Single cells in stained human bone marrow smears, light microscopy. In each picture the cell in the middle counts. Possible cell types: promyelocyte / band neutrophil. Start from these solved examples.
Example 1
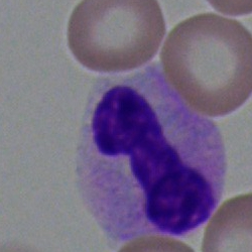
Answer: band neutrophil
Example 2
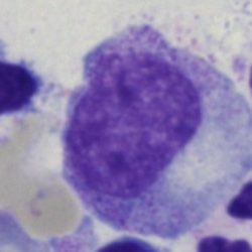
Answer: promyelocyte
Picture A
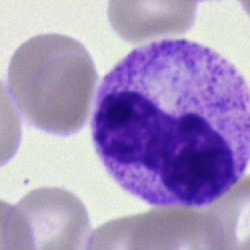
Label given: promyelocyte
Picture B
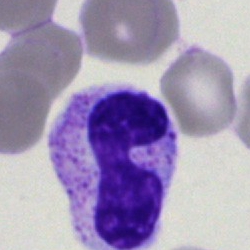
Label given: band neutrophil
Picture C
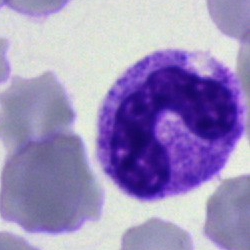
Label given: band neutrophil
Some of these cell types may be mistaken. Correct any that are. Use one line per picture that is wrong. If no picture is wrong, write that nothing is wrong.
A should be band neutrophil, not promyelocyte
